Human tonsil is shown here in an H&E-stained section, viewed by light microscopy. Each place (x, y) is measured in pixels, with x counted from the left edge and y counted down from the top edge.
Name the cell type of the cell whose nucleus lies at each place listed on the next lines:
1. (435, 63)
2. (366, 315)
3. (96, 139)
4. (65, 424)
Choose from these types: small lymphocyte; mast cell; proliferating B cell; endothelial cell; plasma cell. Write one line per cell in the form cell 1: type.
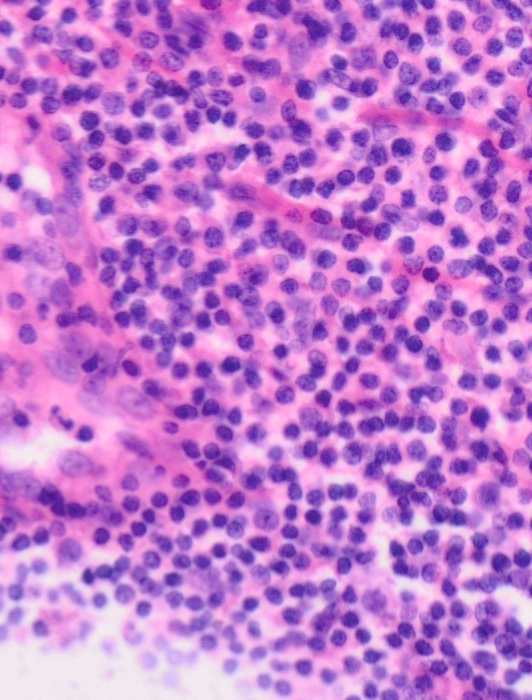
cell 1: small lymphocyte
cell 2: small lymphocyte
cell 3: small lymphocyte
cell 4: endothelial cell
